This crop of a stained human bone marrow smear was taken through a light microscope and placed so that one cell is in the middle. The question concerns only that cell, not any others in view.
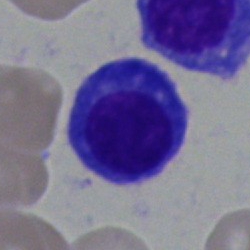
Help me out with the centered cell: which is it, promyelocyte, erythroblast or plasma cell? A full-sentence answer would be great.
The cell the crop is centered on is a plasma cell.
